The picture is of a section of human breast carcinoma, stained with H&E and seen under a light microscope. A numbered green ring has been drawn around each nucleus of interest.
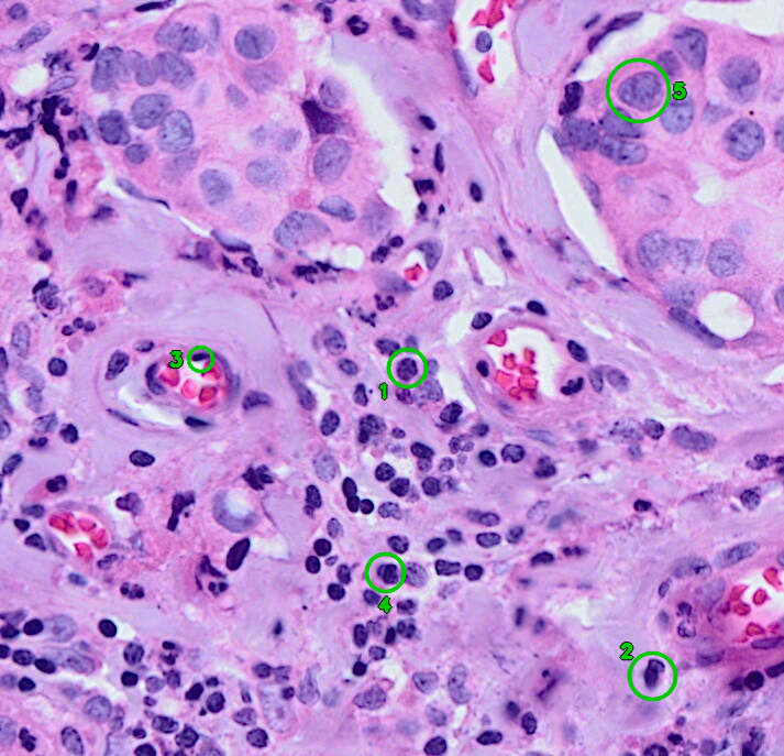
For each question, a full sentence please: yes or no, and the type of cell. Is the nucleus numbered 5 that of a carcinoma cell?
Yes, exactly, the cell numbered 5 is a carcinoma cell.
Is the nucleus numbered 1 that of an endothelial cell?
No, cell number 1 is a lymphocyte; it is not an endothelial cell.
